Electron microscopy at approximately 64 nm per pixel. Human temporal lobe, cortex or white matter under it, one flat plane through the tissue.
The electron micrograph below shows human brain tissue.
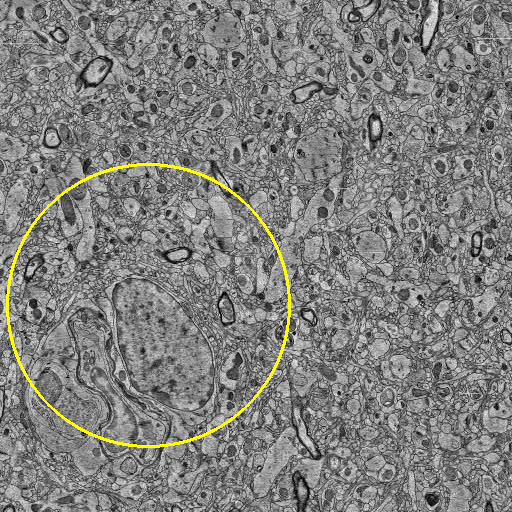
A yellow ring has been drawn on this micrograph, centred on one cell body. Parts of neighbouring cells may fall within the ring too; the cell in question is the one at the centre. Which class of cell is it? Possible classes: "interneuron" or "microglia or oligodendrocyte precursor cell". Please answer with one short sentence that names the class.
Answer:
In the centre of the ring sits a microglial cell or oligodendrocyte precursor cell.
